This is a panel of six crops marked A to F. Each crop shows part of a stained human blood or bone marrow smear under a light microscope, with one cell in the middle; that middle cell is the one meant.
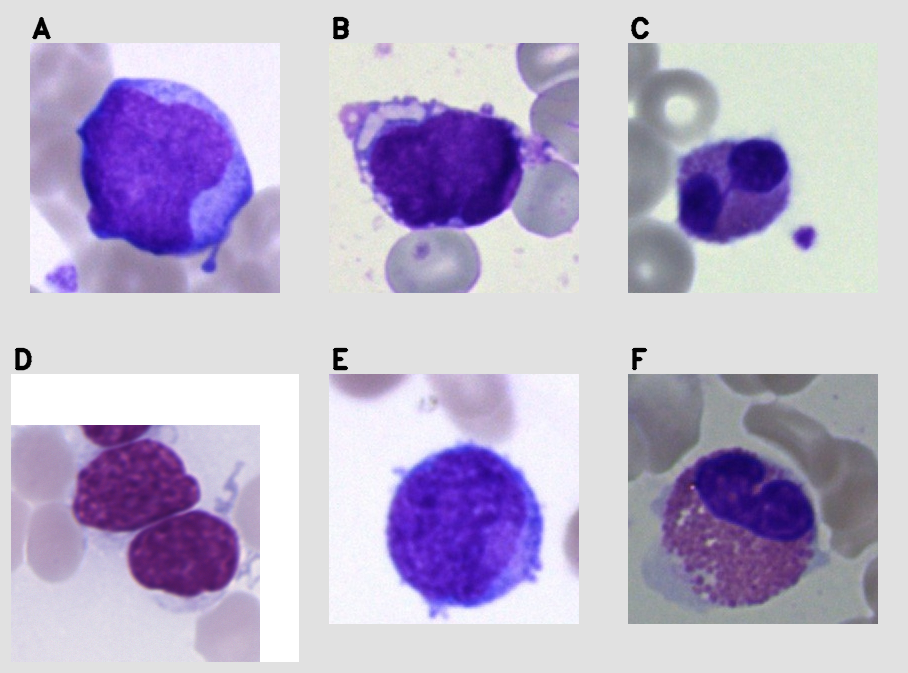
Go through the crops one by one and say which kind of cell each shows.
A: blast
B: blast
C: eosinophil
D: blast
E: blast
F: eosinophil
